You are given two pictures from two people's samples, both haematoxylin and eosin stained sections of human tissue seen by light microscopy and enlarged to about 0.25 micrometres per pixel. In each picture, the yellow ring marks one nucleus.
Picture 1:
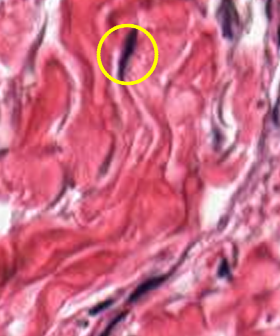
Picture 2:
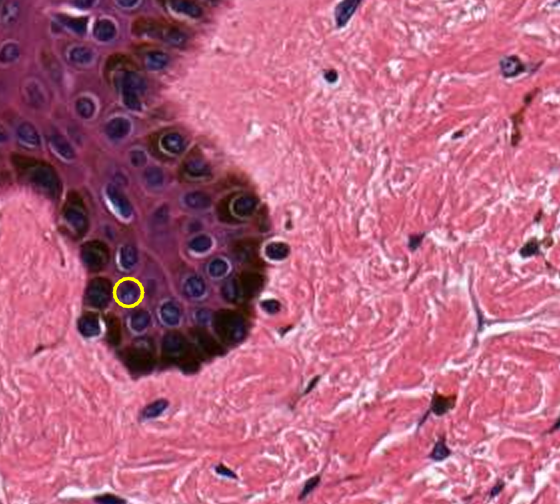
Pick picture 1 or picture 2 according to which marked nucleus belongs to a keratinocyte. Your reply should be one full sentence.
The nucleus of a keratinocyte carries the mark in picture 2.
